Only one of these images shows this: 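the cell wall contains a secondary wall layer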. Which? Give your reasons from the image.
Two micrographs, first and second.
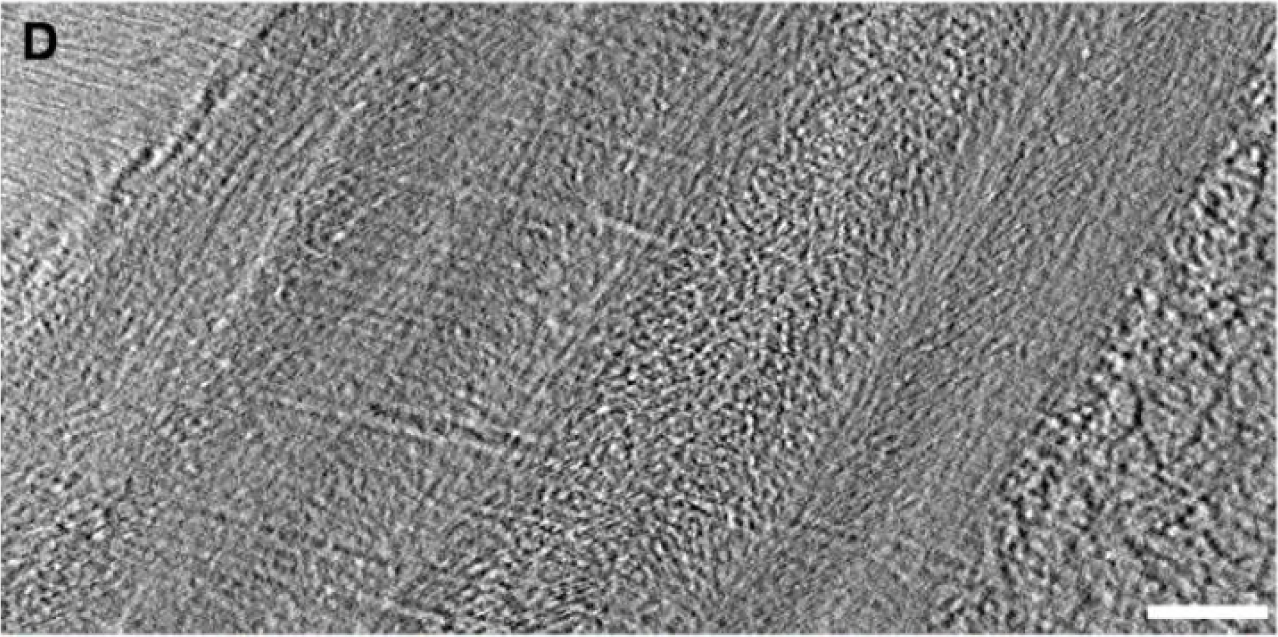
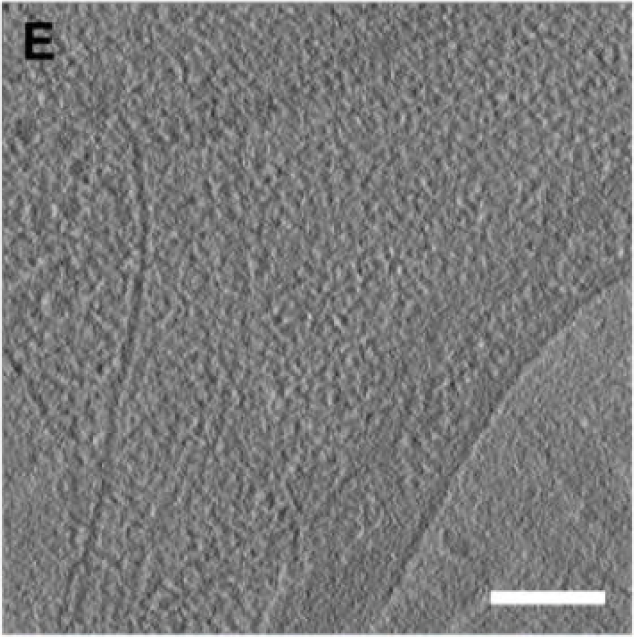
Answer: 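The first image. Second image: a fine, fairly uniform granular texture crossed by thin boundary lines. First image: a dense, coarse fibrillar texture with regions of oriented fibrils filling most of the field.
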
